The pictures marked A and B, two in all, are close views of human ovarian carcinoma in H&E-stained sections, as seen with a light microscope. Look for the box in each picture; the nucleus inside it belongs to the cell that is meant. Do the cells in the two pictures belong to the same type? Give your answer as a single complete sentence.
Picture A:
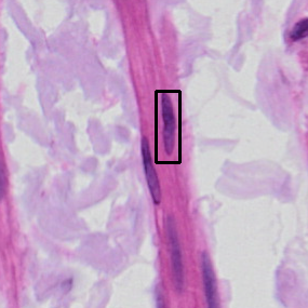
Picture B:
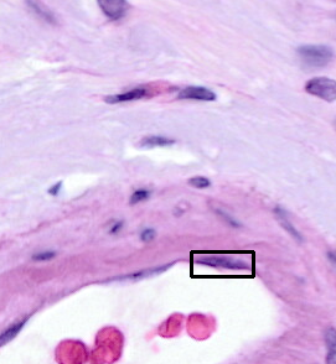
No, they differ: the cell is a smooth muscle cell in picture A and an endothelial cell in picture B.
